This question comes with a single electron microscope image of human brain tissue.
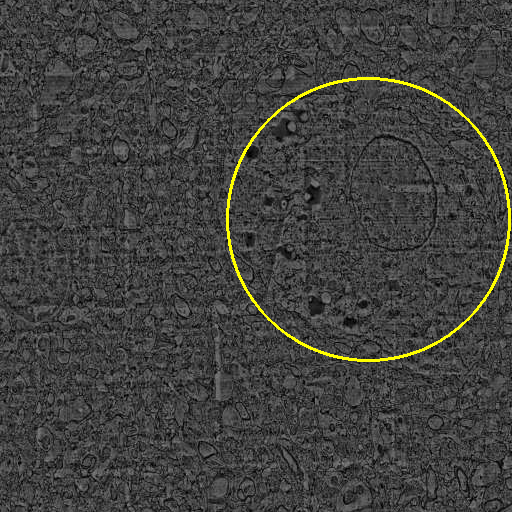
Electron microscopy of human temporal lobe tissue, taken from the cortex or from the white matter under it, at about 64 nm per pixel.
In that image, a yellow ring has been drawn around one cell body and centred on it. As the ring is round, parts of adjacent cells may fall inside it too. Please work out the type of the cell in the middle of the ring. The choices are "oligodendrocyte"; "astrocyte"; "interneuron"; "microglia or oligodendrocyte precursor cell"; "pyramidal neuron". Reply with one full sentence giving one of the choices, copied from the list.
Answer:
Of the choices, a pyramidal neuron is the cell sitting in the middle of the ring.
